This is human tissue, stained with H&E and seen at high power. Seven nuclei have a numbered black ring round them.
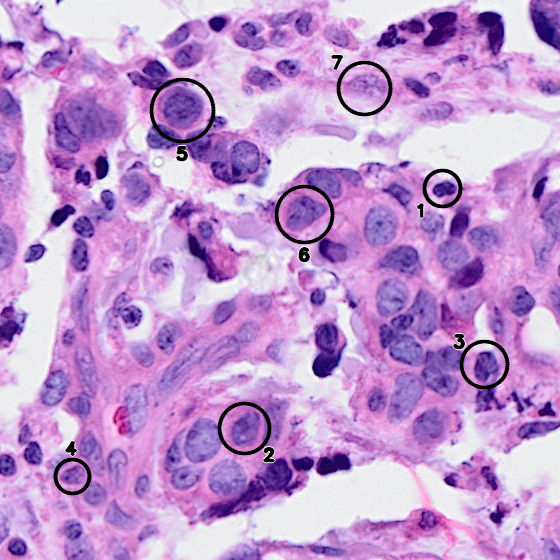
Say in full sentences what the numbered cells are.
Cell 1 is a lymphocyte. Cells 2, 3, 5 and 6 are carcinoma cells. Cell 4 is an endothelial cell. Cell 7 is a fibroblast.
